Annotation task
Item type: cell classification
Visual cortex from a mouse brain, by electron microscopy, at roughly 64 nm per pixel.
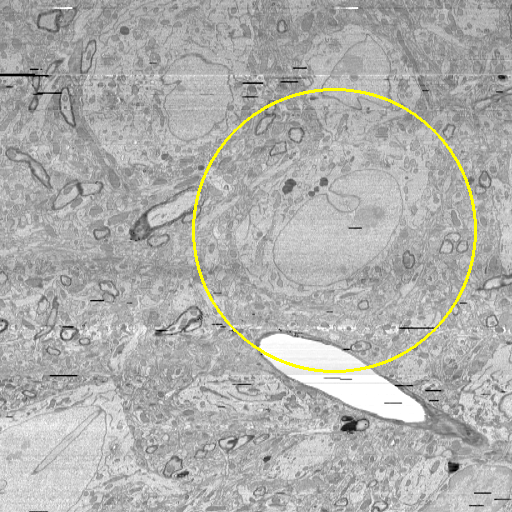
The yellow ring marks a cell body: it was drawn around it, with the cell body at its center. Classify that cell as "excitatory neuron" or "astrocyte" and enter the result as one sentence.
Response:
The ring's center falls on an excitatory neuron.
